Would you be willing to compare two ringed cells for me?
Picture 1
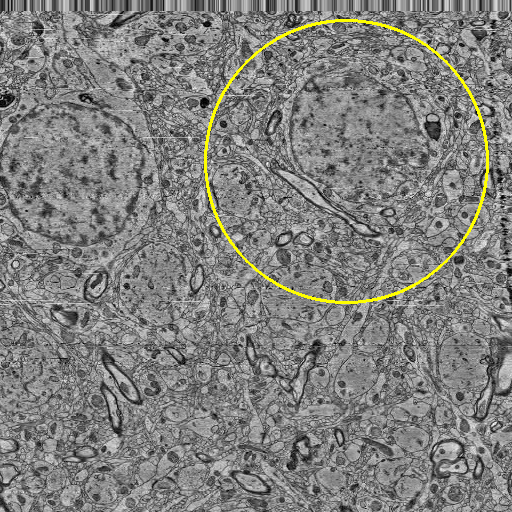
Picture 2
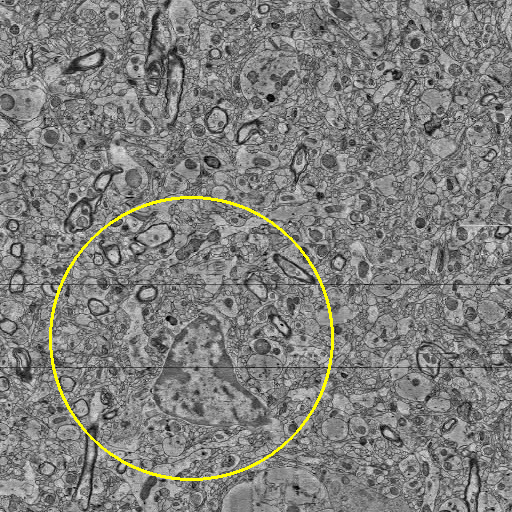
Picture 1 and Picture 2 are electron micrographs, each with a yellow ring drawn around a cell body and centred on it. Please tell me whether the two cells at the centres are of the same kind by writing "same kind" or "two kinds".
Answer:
two kinds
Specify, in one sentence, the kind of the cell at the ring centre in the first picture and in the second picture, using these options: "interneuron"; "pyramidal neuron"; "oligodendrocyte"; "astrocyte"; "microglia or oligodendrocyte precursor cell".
So the first is an interneuron, the second a microglial cell or oligodendrocyte precursor cell.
